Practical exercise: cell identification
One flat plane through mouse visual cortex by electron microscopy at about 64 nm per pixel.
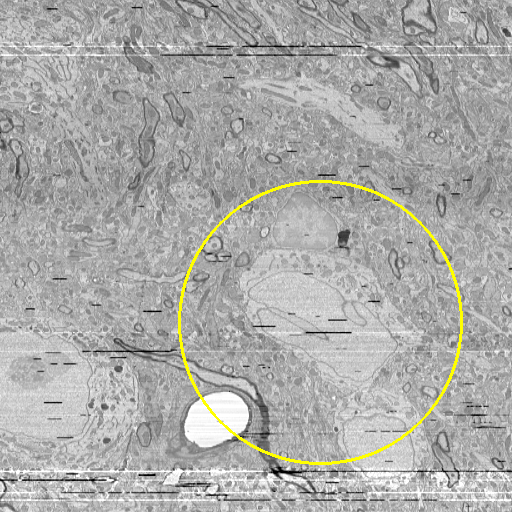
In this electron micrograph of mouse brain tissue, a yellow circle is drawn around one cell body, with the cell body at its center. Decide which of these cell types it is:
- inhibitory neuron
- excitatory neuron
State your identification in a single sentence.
The ringed cell is an excitatory neuron.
